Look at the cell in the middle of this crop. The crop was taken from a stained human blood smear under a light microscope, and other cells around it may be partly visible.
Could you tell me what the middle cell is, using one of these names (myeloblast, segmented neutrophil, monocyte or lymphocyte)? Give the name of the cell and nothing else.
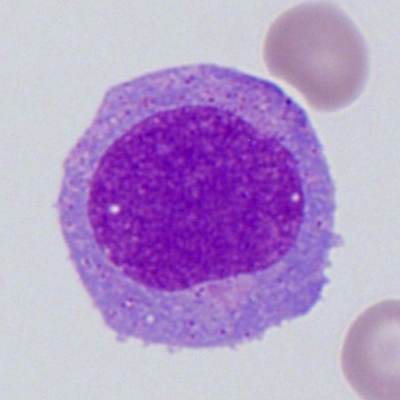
myeloblast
